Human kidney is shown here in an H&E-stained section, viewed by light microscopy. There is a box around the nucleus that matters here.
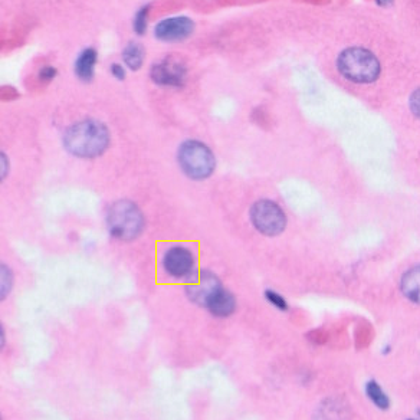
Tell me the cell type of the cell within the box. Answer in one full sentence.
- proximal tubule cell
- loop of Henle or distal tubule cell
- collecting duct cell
The identity of the cell within the box is that of a proximal tubule cell.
